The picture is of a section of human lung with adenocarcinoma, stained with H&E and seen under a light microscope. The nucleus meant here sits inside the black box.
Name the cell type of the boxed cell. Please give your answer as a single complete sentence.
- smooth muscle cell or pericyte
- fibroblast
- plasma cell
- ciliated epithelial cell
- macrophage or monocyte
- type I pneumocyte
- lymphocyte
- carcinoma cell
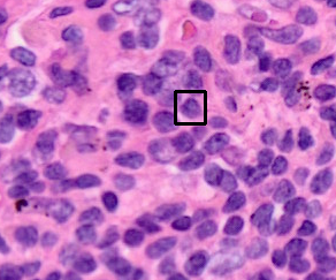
Speaking plainly, the boxed cell is nothing other than a lymphocyte.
